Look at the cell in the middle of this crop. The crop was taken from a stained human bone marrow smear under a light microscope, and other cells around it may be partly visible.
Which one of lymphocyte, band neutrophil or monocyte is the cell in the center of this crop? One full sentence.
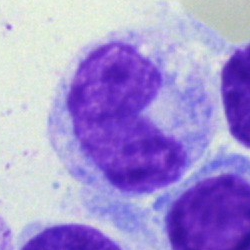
Regarding the central cell, it is a monocyte.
